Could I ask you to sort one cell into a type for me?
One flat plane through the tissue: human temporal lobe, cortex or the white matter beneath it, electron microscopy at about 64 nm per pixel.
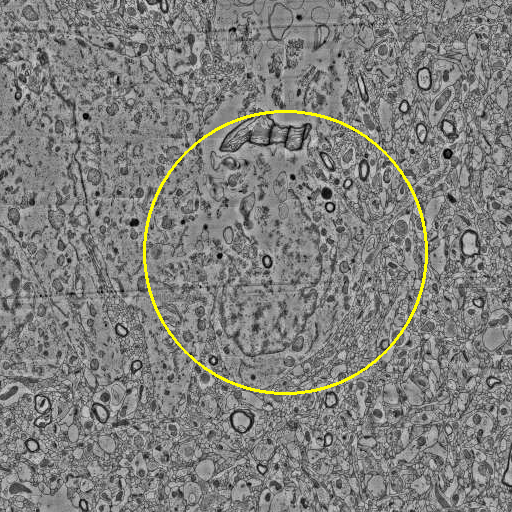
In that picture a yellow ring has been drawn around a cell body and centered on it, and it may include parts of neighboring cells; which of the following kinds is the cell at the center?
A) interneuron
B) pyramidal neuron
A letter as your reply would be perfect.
A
